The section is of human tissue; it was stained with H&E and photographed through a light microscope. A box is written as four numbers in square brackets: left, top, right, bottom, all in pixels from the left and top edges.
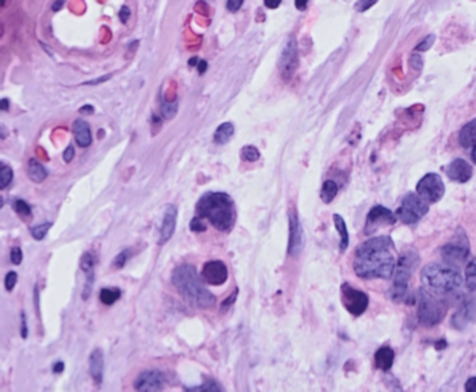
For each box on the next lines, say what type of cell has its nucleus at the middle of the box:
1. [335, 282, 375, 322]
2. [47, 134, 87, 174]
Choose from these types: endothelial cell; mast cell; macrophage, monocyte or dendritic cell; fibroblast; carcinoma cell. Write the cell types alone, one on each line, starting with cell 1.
carcinoma cell
endothelial cell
